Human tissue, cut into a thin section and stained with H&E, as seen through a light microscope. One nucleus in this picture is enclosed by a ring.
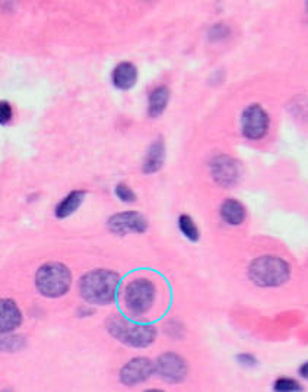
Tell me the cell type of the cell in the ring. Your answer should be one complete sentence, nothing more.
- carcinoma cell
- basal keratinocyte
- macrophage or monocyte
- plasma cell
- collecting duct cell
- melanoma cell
In terms of identity, the cell in the ring is a collecting duct cell.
